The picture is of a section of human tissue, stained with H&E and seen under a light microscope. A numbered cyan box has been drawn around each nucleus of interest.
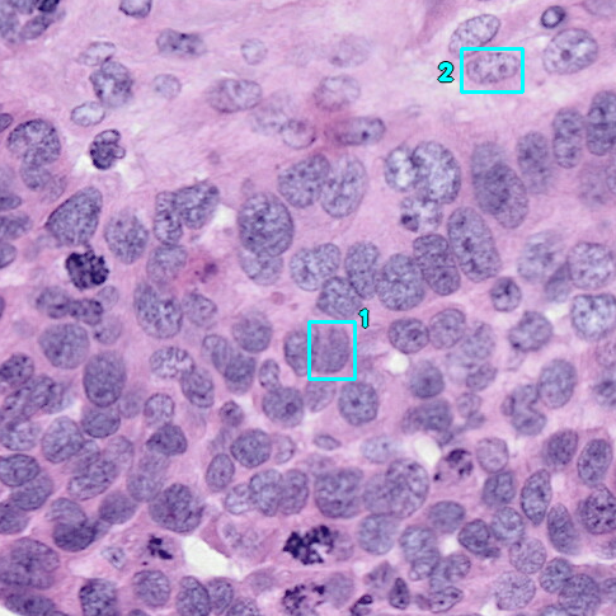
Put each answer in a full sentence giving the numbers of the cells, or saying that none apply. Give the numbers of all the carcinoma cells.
The sole numbered cell that is a carcinoma cell is cell 1.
